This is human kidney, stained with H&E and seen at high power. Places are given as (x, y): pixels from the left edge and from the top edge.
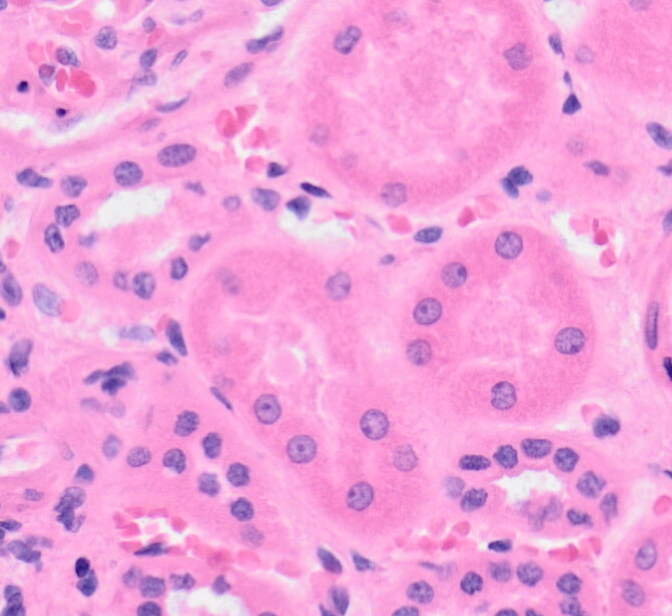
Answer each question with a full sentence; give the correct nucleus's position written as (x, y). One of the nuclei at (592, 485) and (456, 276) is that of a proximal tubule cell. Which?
In this pair, the nucleus at (456, 276) belongs to a proximal tubule cell.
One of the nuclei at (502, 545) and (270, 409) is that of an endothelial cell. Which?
The nucleus at (502, 545) is contained in an endothelial cell.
